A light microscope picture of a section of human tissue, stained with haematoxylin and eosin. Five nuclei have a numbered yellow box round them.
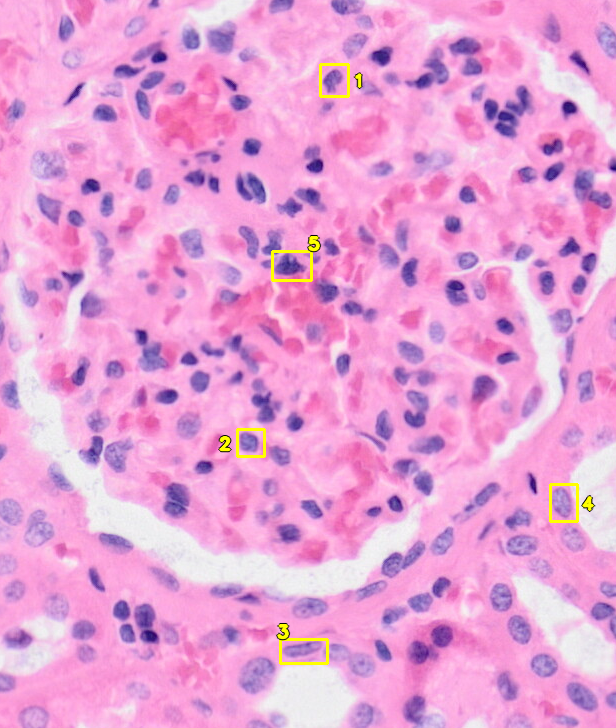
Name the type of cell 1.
endothelial cell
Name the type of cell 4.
loop of Henle or distal tubule cell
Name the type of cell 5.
endothelial cell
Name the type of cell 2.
endothelial cell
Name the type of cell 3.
collecting duct cell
